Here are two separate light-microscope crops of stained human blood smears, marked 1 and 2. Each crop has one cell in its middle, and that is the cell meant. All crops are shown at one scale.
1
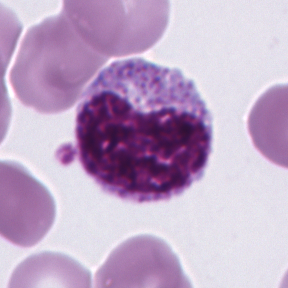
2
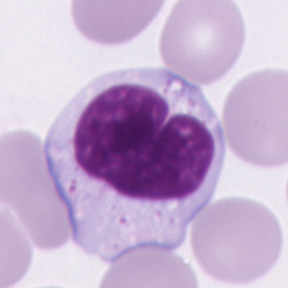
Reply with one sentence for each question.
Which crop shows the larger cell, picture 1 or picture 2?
Larger is the cell in picture 2, at roughly 1.5 times the area of the other.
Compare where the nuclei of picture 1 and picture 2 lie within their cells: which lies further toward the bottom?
In picture 1 the nucleus is shifted more toward the bottom.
